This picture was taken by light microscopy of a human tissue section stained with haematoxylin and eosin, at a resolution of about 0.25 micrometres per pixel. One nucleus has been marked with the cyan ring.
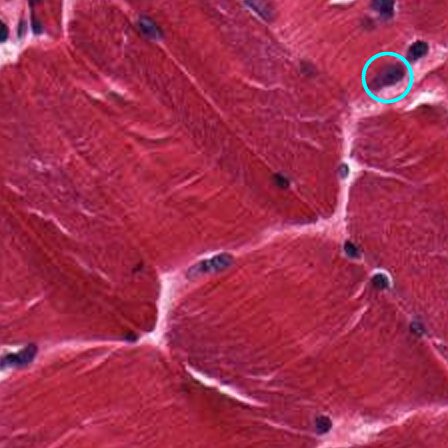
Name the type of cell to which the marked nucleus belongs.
skeletal muscle fibre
